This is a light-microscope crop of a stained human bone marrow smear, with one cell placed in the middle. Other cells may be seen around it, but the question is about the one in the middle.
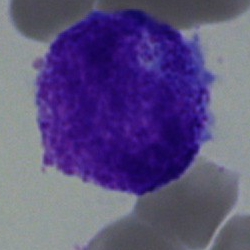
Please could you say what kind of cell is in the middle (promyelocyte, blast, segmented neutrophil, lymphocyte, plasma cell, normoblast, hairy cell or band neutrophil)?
promyelocyte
